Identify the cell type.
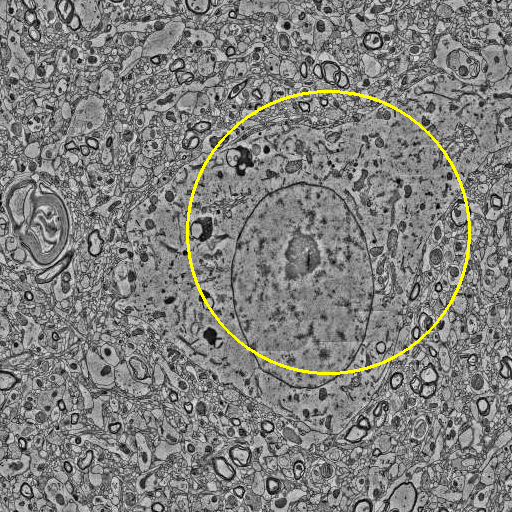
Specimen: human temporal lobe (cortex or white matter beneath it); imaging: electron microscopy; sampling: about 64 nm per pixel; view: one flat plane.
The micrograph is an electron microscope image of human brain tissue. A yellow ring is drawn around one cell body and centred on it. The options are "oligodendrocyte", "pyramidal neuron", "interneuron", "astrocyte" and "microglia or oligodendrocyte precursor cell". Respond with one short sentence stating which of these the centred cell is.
The cell body in the ring belongs to a pyramidal neuron.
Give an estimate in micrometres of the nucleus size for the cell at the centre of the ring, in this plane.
In this plane, roughly 13 by 9 micrometres.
